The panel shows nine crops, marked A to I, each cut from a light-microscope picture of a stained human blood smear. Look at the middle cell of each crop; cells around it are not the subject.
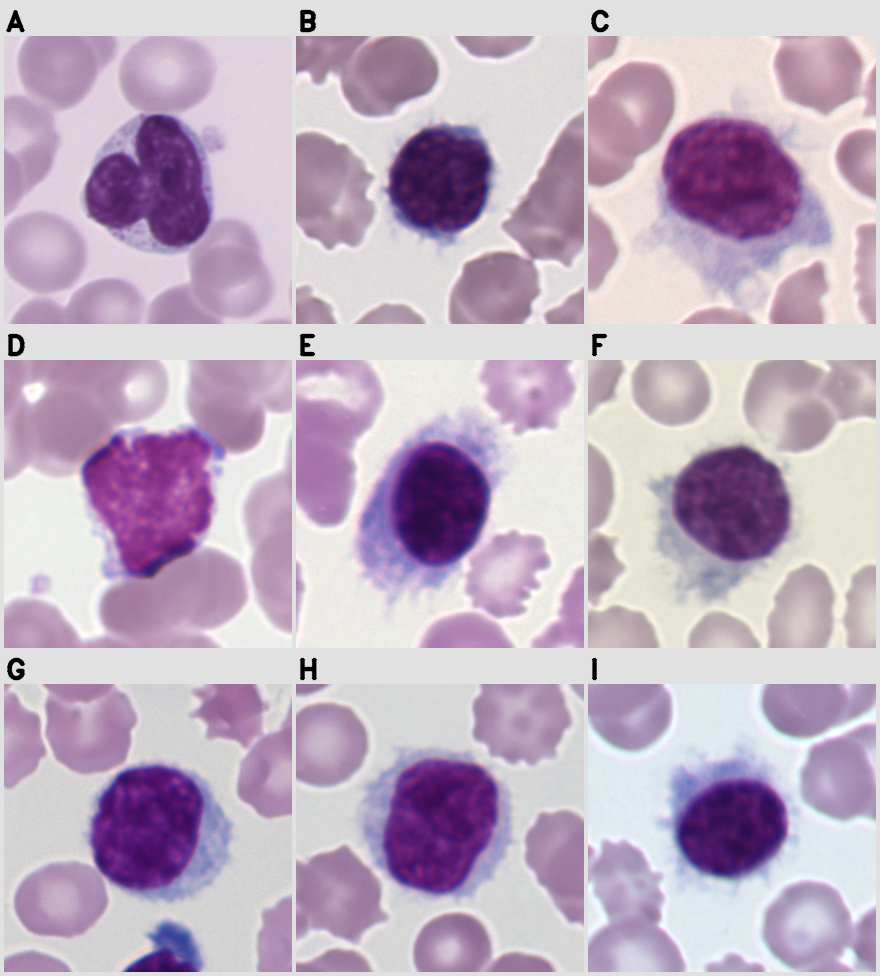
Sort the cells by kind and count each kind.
hairy cell: 7
large granular lymphocyte: 2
